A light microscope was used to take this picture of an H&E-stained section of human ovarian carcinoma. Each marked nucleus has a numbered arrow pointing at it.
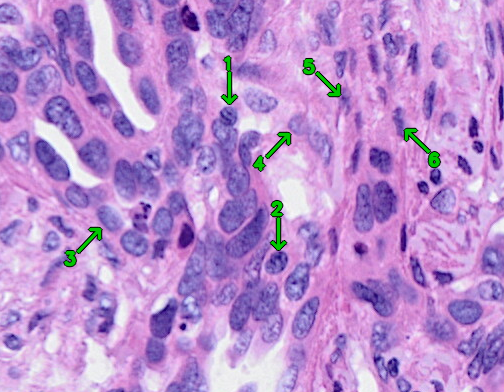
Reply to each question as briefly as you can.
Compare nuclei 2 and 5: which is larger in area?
2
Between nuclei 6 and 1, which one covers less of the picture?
6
